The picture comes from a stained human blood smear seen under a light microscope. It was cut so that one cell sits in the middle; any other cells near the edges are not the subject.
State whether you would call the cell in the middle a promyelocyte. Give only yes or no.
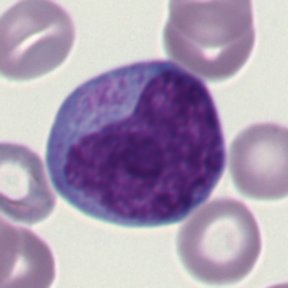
yes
